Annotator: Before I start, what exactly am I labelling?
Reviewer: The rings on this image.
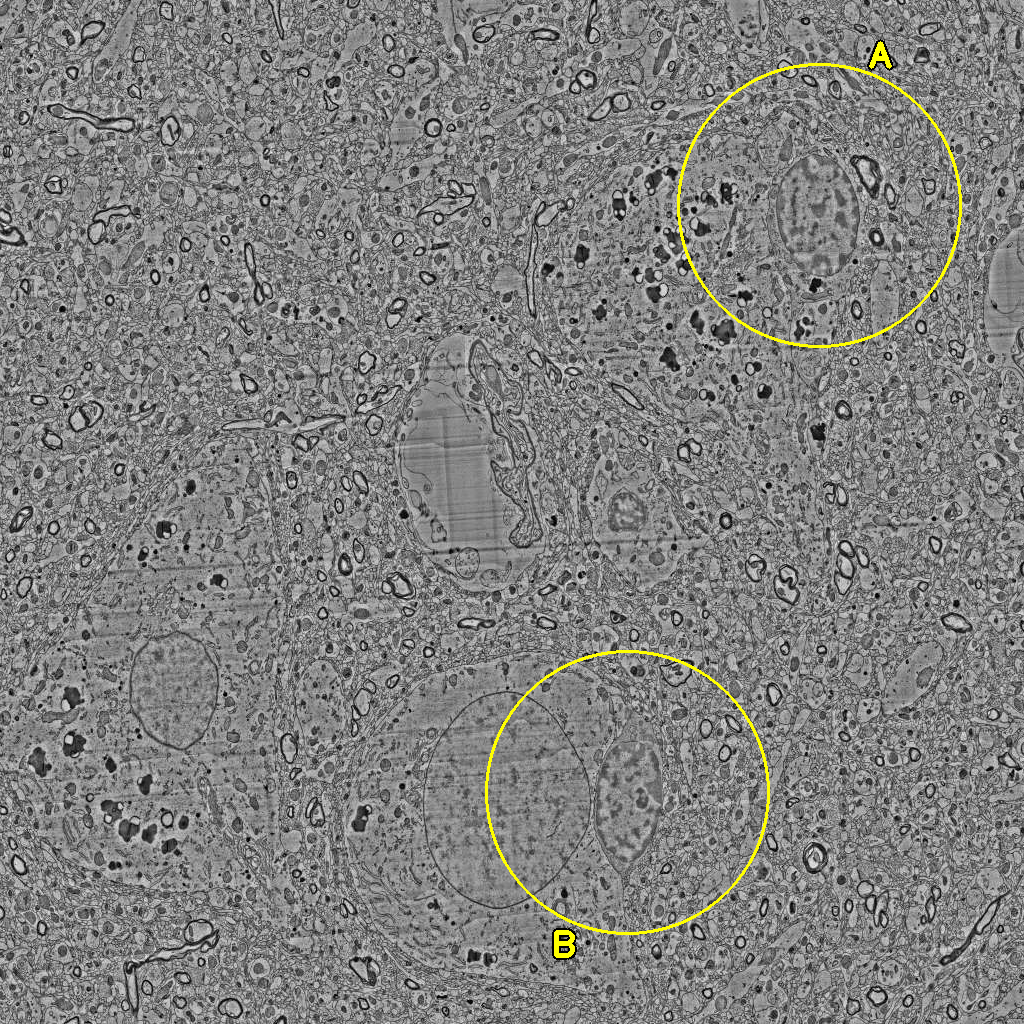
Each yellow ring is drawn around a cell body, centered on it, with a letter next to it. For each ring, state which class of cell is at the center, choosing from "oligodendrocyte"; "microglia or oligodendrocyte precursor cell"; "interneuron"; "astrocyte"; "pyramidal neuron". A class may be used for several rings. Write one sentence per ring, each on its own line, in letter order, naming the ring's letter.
At the center of ring A we have an oligodendrocyte.
At the center of ring B we have an oligodendrocyte.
